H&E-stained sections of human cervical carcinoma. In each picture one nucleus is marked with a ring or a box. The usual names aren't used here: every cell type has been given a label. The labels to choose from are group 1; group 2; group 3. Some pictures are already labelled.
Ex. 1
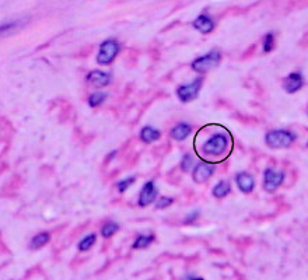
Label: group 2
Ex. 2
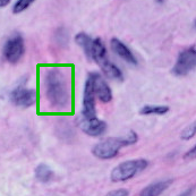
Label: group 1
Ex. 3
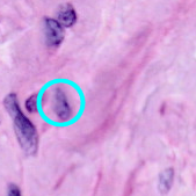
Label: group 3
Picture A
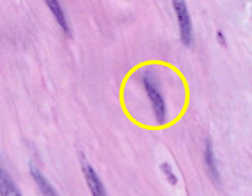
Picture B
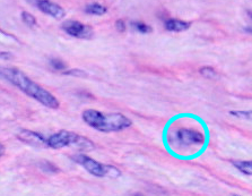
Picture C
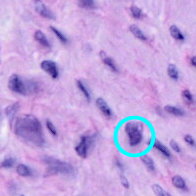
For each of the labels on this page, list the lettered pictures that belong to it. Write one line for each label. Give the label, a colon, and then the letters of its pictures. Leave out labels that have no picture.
group 2: B
group 3: A, C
